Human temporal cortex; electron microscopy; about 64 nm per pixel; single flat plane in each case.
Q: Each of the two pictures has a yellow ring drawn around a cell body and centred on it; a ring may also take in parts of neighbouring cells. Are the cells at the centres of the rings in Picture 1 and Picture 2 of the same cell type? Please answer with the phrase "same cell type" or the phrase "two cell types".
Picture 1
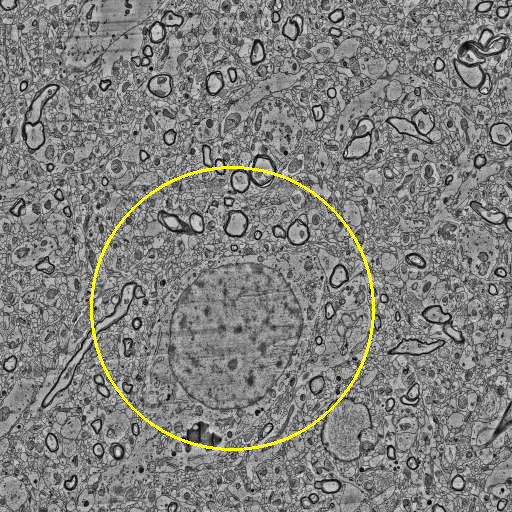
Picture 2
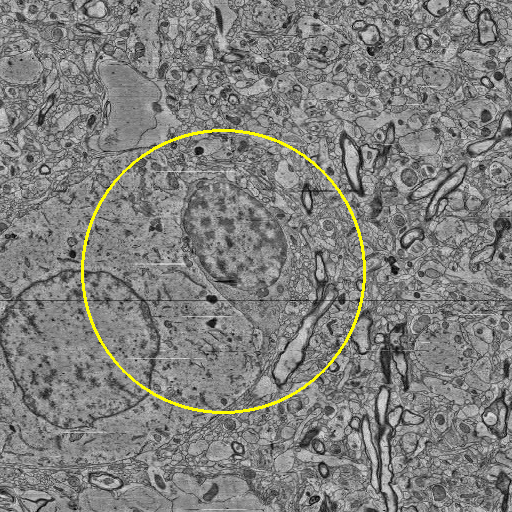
two cell types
